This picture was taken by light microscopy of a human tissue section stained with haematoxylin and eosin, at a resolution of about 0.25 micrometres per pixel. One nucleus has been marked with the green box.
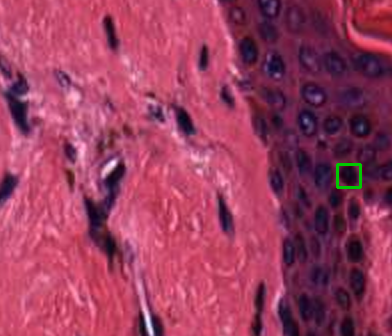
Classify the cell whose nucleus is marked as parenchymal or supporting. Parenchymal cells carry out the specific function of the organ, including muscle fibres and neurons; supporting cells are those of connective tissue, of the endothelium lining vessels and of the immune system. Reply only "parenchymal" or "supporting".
parenchymal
